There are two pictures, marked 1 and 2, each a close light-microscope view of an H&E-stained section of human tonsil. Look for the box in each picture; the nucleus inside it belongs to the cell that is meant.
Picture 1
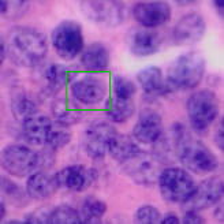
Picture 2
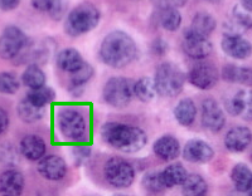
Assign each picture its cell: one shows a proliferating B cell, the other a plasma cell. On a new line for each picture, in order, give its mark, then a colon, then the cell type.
1: proliferating B cell
2: plasma cell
